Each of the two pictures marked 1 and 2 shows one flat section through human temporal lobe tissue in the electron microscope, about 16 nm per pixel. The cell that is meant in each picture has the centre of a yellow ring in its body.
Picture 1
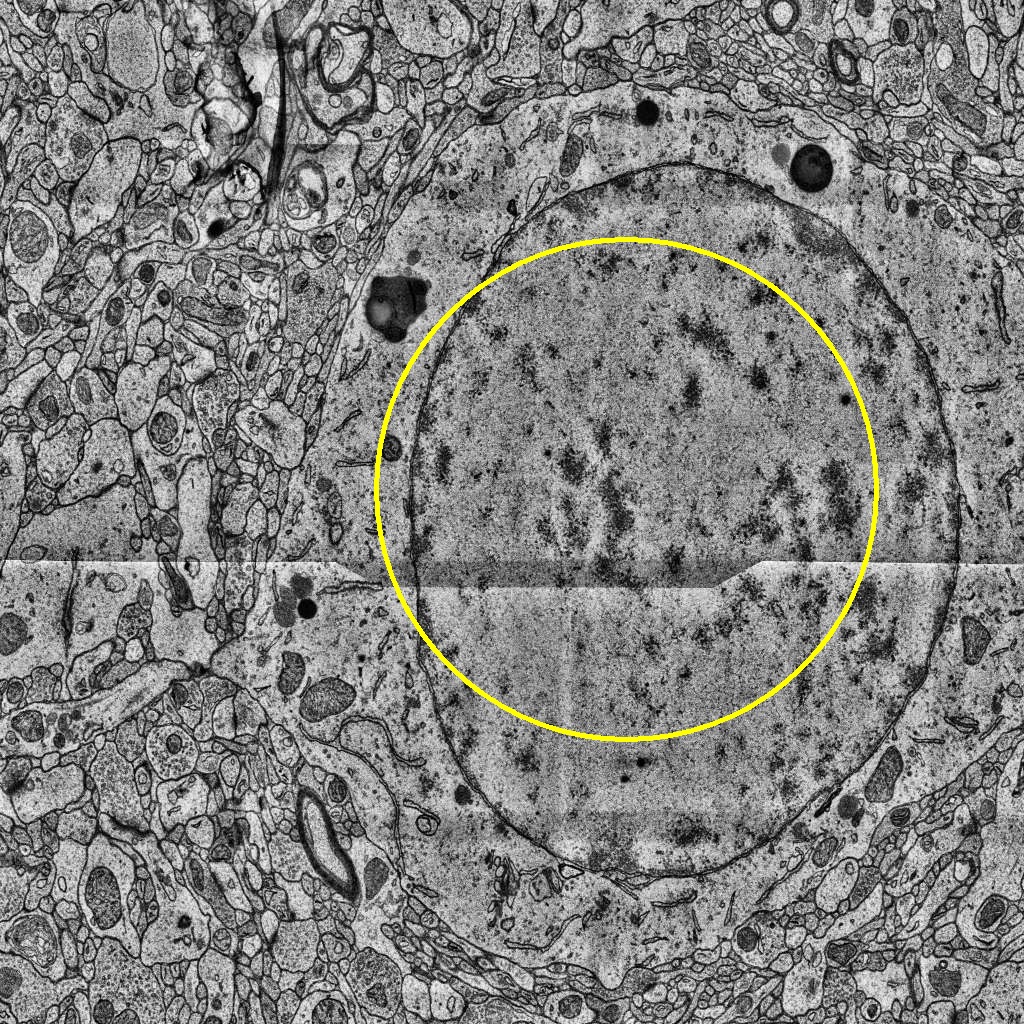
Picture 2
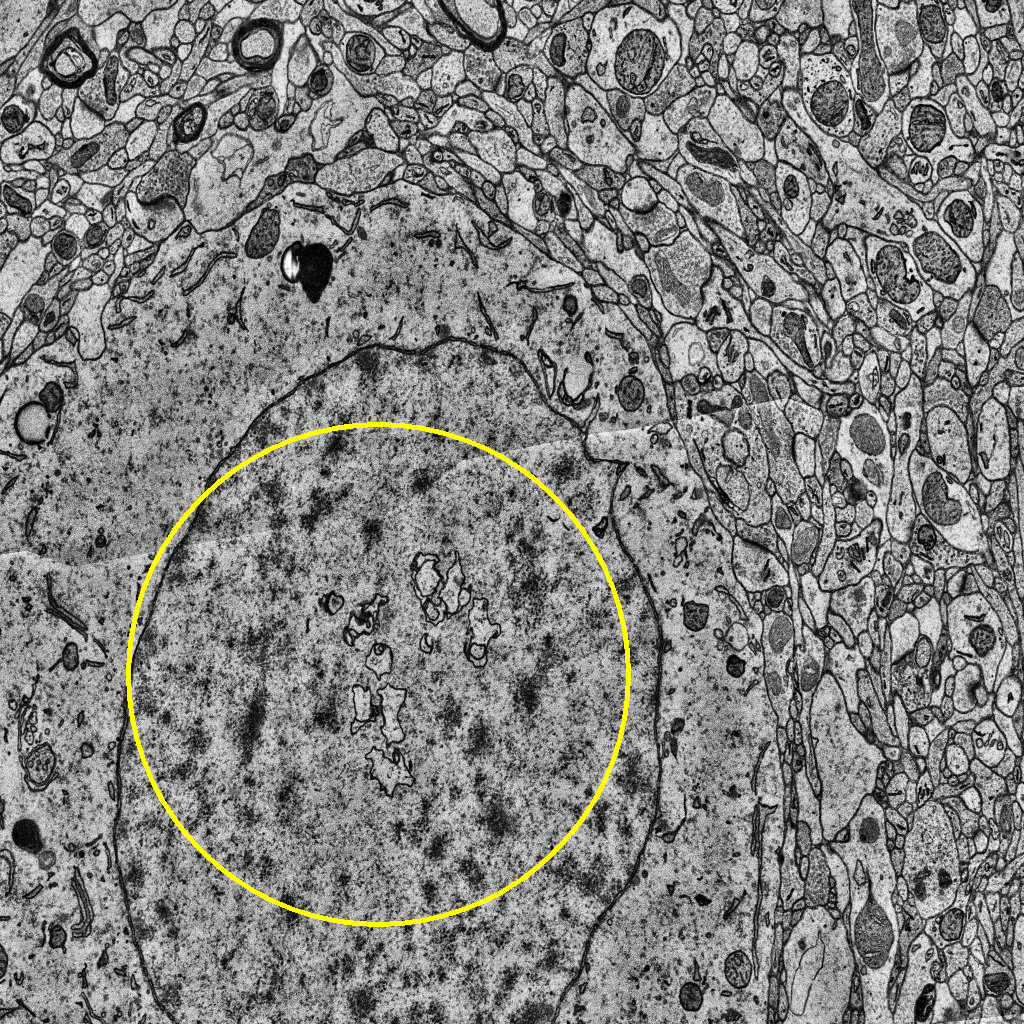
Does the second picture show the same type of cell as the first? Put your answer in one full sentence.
Yes, they are the same type: both are pyramidal neurons.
